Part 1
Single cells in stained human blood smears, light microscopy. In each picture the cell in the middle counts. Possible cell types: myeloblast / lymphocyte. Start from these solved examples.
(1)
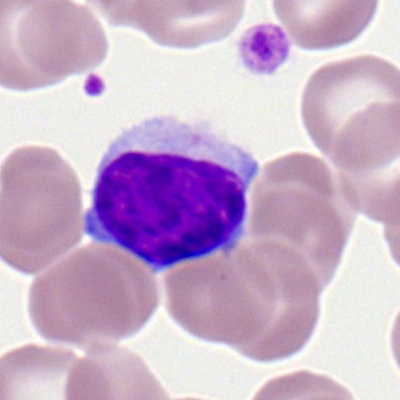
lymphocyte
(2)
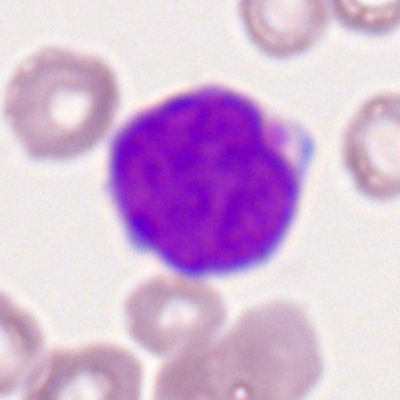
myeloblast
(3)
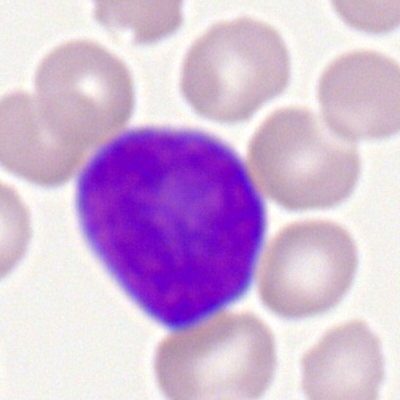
myeloblast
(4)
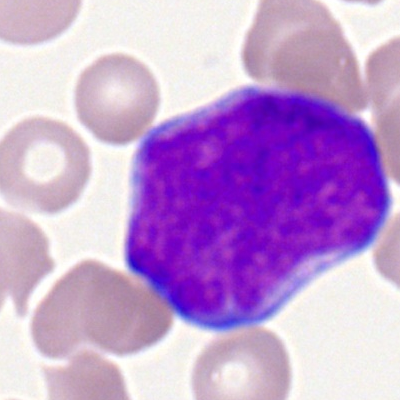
myeloblast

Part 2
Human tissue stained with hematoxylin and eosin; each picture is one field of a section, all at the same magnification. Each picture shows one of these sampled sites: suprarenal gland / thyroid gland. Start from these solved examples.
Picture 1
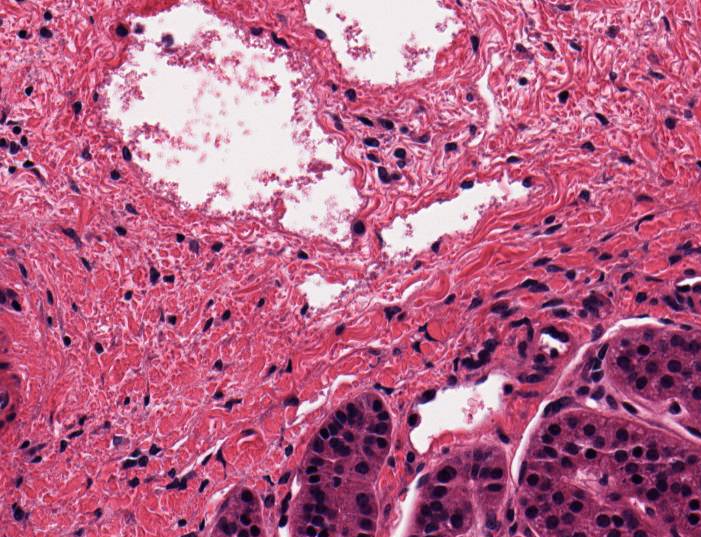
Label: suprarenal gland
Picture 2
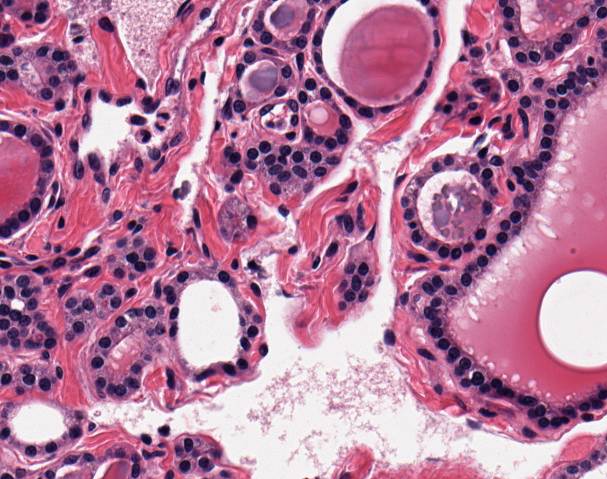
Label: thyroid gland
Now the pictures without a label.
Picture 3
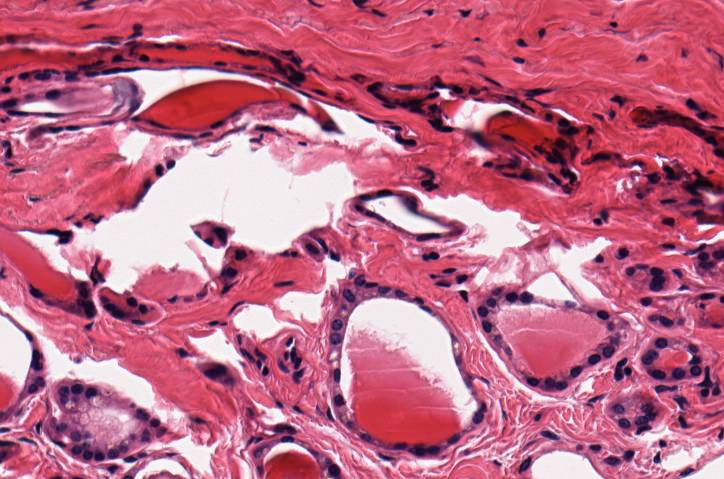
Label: thyroid gland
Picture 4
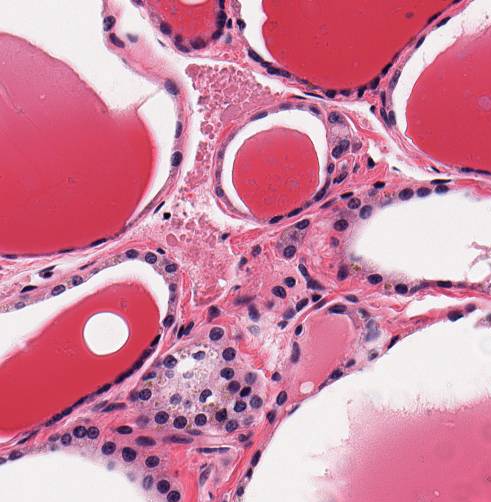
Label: thyroid gland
